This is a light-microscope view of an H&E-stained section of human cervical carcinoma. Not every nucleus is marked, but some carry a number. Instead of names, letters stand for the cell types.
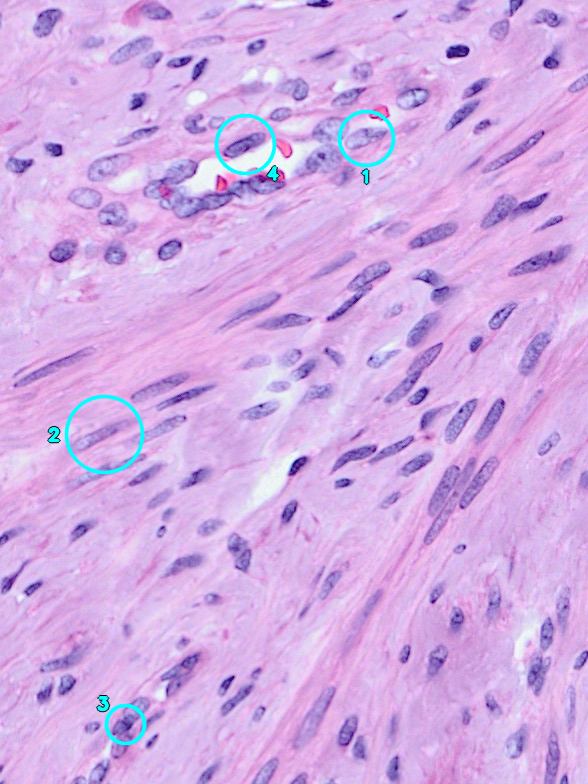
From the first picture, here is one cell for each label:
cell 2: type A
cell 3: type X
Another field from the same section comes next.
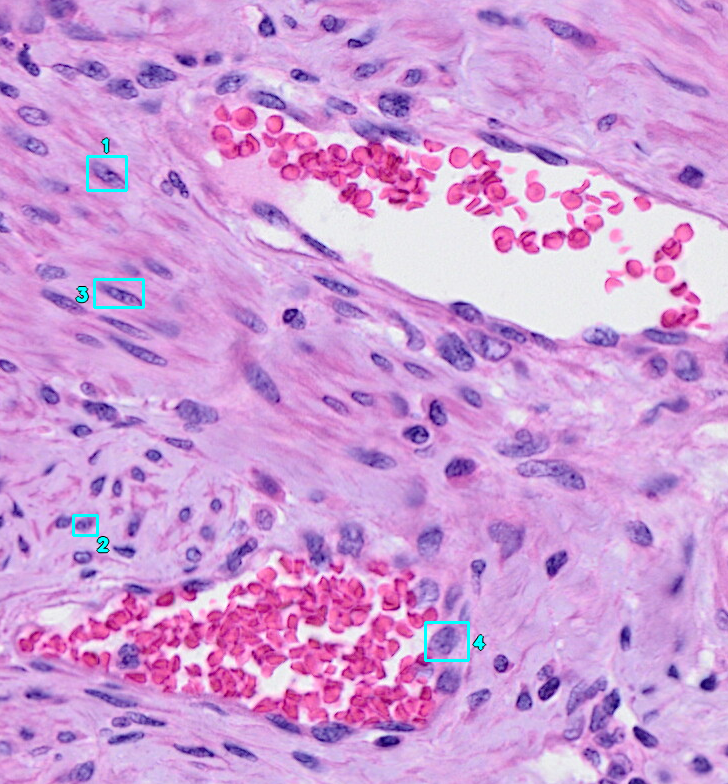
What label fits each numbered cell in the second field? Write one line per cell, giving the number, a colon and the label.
1: type A
2: type A
3: type A
4: type X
